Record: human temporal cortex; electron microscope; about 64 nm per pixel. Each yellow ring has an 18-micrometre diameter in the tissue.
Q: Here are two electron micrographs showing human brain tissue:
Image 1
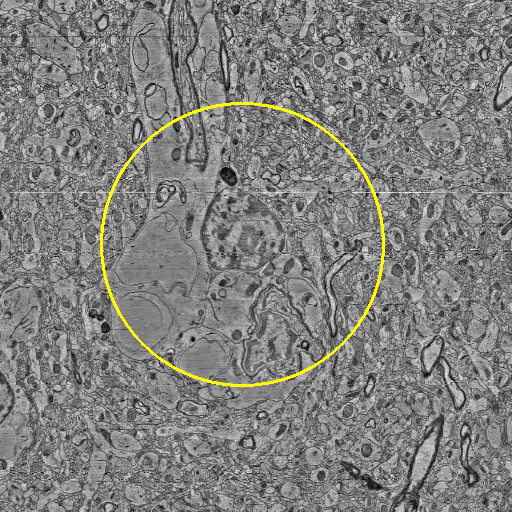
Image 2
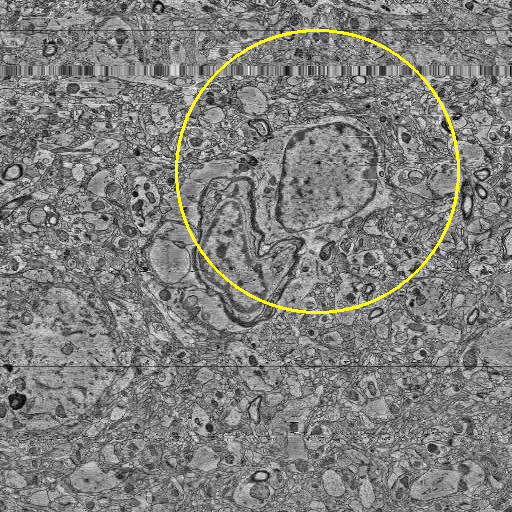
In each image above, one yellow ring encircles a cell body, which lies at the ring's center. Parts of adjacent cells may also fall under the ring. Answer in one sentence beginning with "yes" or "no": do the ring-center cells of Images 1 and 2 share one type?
Yes, in Images 1 and 2, the ring-center cells are both of one type.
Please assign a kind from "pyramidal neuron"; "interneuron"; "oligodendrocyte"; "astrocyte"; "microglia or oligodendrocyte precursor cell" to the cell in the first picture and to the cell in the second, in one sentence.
In each picture the ringed cell is a microglial cell or oligodendrocyte precursor cell.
